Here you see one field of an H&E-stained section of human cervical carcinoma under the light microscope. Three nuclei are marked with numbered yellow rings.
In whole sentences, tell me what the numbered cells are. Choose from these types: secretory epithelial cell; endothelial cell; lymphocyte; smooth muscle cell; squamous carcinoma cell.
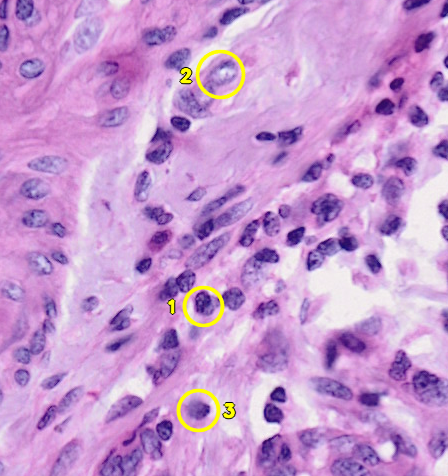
Cell 1 is a lymphocyte, cell 2 is an endothelial cell and cell 3 is a lymphocyte.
